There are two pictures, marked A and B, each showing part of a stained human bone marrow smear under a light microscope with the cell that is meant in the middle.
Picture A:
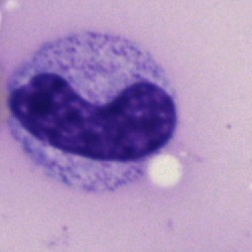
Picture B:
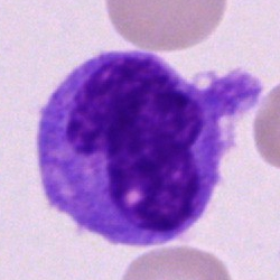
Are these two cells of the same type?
no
